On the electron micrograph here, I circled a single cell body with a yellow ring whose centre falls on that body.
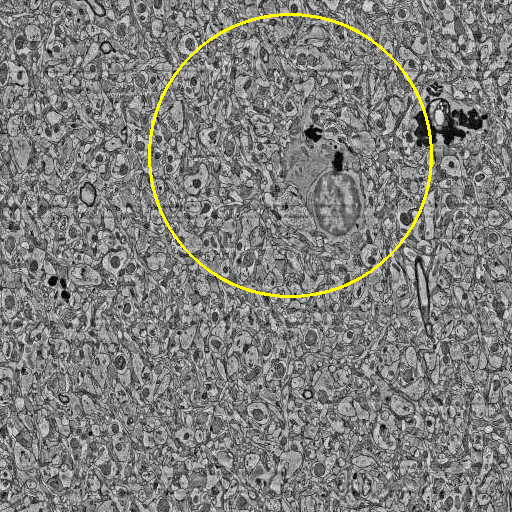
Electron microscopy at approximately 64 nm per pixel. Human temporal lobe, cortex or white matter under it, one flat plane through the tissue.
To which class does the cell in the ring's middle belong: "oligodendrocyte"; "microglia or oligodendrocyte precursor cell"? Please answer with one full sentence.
In this picture, the cell body circled at the ring's centre belongs to an oligodendrocyte.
